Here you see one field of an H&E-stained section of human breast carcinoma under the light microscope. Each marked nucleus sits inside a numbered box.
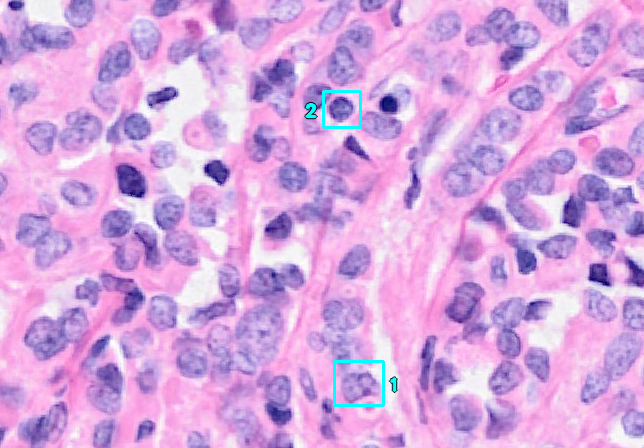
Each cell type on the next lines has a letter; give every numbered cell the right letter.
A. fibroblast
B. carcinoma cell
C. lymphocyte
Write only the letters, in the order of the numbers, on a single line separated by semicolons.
B; C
